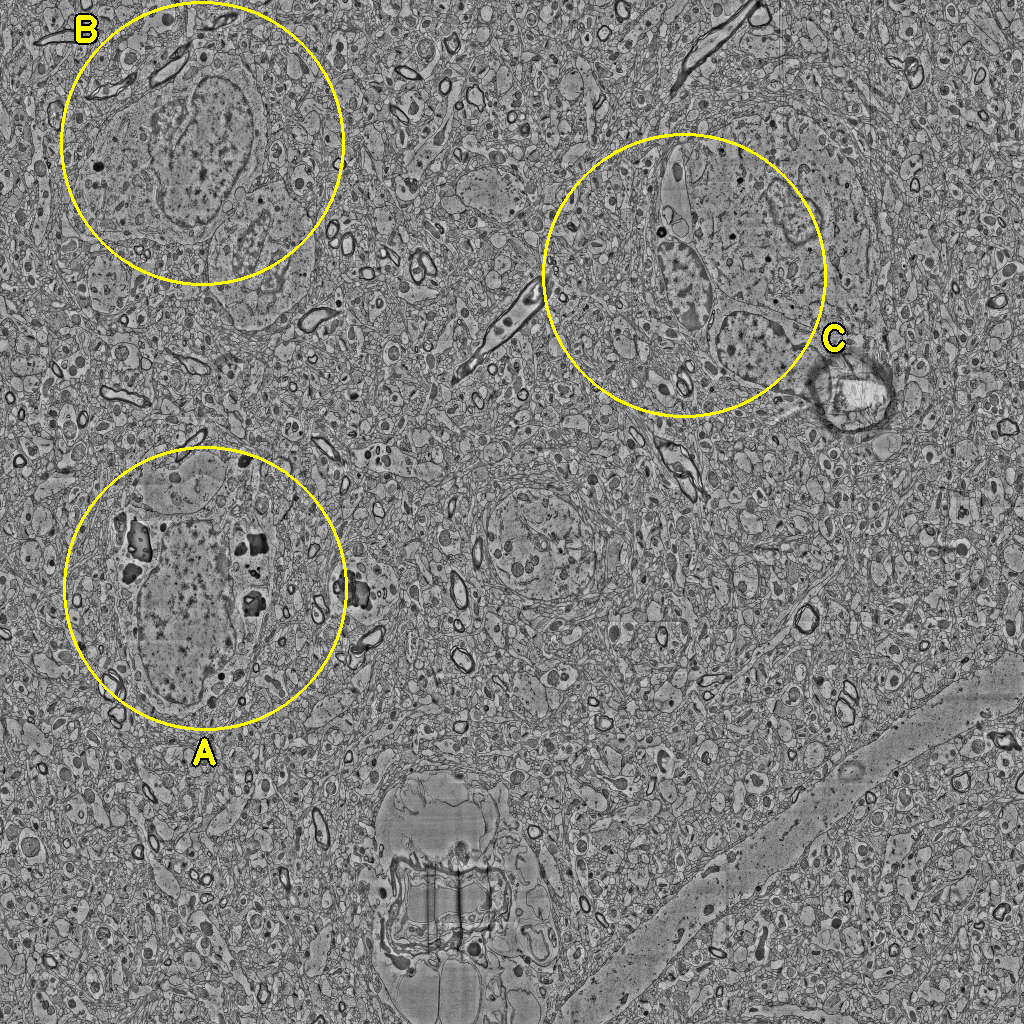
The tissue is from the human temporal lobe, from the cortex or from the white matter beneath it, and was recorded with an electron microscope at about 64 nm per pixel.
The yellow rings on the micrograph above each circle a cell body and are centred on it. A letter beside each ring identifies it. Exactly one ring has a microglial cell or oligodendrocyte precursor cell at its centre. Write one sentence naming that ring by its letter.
Ring C is the one.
